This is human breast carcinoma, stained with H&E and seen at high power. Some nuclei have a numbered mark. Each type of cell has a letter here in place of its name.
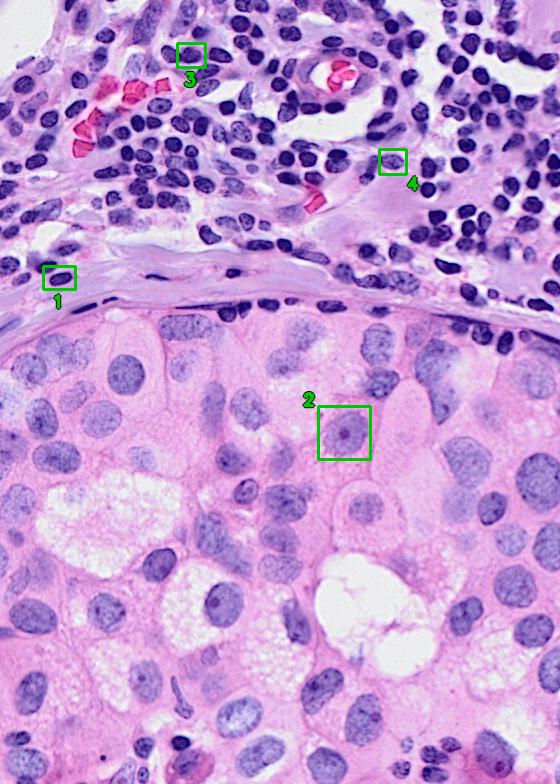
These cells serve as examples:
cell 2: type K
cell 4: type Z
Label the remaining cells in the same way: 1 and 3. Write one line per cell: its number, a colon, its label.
1: type Z
3: type Z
